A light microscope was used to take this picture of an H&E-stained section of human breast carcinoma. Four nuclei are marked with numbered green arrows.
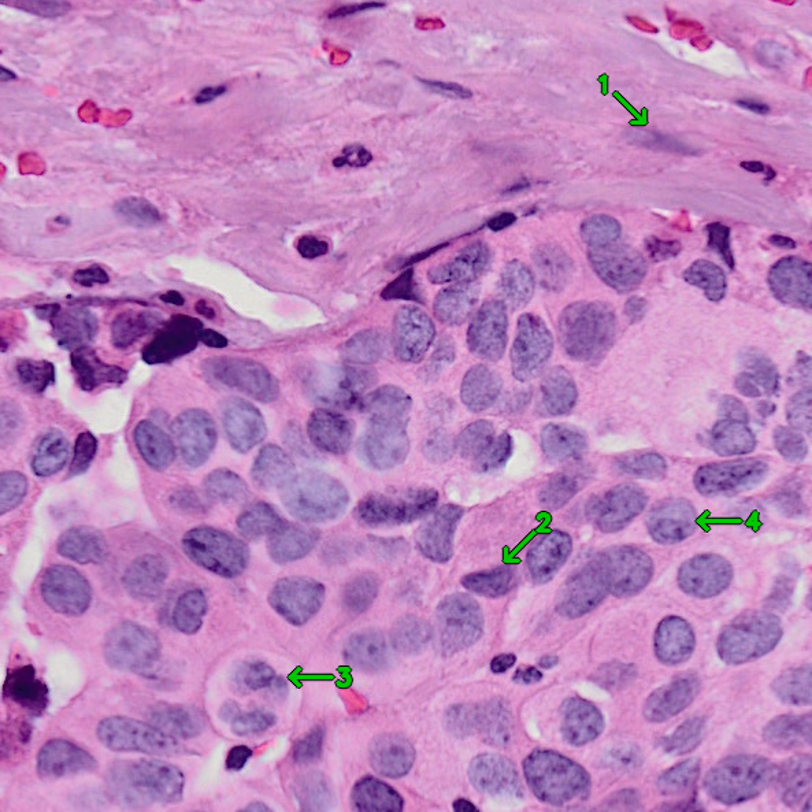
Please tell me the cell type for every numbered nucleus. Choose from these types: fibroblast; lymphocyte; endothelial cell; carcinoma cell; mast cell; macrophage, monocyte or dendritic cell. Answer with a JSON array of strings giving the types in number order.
["fibroblast", "carcinoma cell", "carcinoma cell", "carcinoma cell"]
